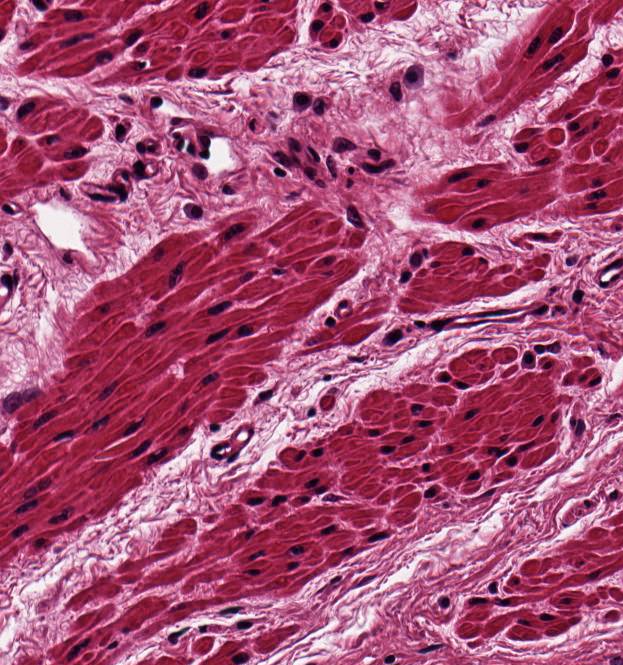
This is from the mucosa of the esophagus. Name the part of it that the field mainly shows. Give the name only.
smooth muscle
